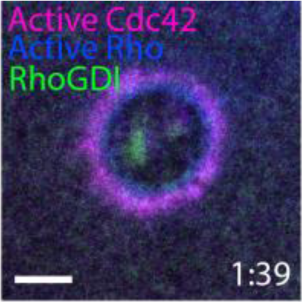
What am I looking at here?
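Surface of an oocyte with a round wound, ringed by a bright magenta outer band with a blue band just inside it. Faint green patches lie in the dark centre of the wound and along the inner edge of the ring.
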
